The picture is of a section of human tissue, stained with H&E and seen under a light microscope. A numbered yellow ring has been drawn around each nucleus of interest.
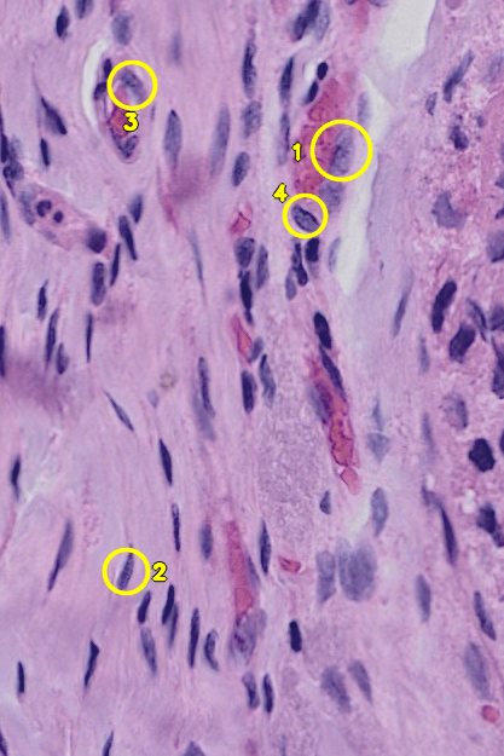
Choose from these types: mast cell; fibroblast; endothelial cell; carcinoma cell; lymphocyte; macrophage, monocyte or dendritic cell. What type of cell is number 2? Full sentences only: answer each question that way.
The cell identified by the number 2 is a fibroblast.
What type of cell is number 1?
The nucleus marked 1 is the nucleus of an endothelial cell.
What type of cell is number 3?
Denoted by the label 3 in the section is an endothelial cell.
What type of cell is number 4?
The marked nucleus 4 is that of an endothelial cell.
